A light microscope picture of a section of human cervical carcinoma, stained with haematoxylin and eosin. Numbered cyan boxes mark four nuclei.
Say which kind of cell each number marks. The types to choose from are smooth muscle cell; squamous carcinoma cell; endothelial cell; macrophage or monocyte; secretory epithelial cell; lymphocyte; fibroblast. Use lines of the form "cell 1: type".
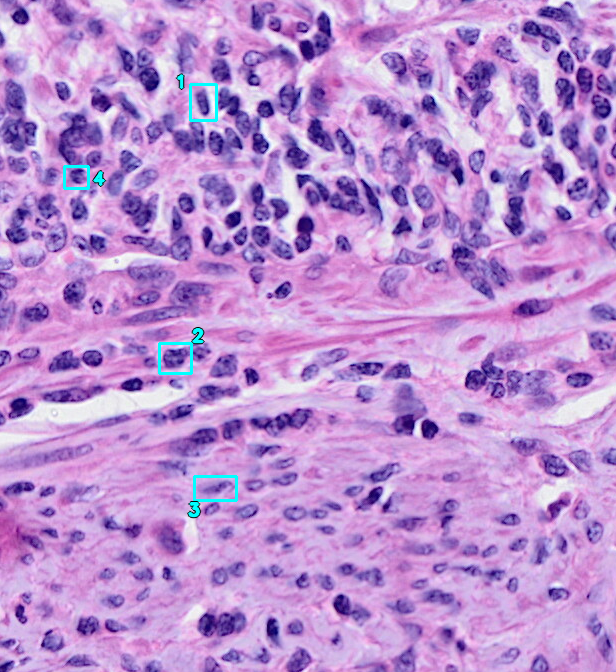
cell 1: lymphocyte
cell 2: lymphocyte
cell 3: fibroblast
cell 4: lymphocyte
